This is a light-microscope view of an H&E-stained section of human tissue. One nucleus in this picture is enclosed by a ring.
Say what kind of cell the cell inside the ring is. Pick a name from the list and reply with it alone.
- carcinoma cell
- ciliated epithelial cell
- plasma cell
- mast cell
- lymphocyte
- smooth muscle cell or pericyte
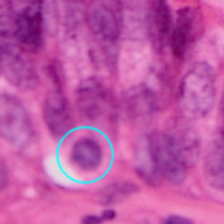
mast cell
